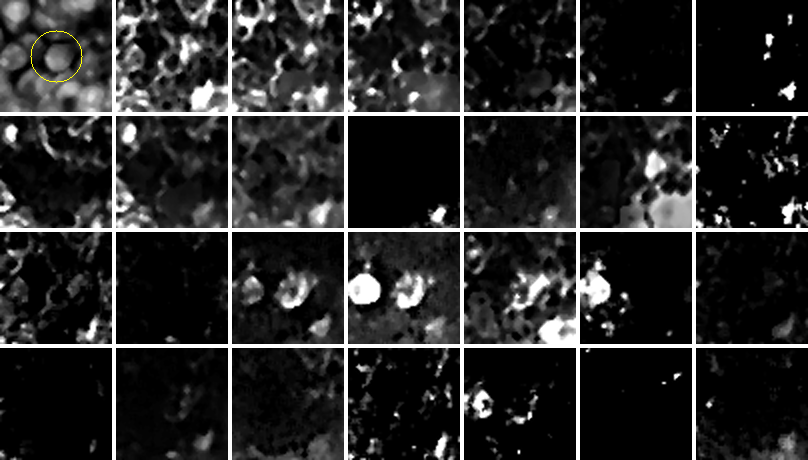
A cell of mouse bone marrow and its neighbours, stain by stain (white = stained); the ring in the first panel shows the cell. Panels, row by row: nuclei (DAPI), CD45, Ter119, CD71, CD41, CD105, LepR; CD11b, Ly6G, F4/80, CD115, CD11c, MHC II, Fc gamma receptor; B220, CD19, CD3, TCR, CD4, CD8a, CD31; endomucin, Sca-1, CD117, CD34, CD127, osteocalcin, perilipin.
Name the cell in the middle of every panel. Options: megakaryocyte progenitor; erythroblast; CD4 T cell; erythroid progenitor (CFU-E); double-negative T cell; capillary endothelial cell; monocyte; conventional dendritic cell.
CD4 T cell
